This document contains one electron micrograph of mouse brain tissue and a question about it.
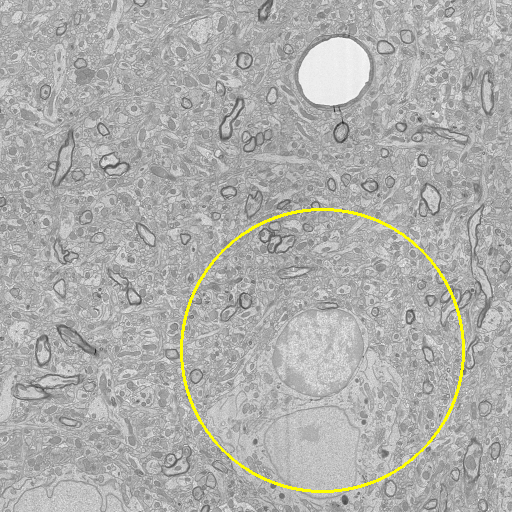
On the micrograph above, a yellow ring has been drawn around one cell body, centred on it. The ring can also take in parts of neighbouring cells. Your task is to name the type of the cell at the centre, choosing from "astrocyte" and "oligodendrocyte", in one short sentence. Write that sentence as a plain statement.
Here the ring is centred on an oligodendrocyte.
